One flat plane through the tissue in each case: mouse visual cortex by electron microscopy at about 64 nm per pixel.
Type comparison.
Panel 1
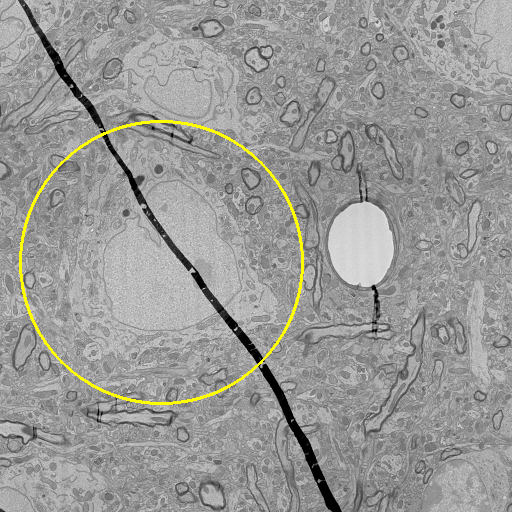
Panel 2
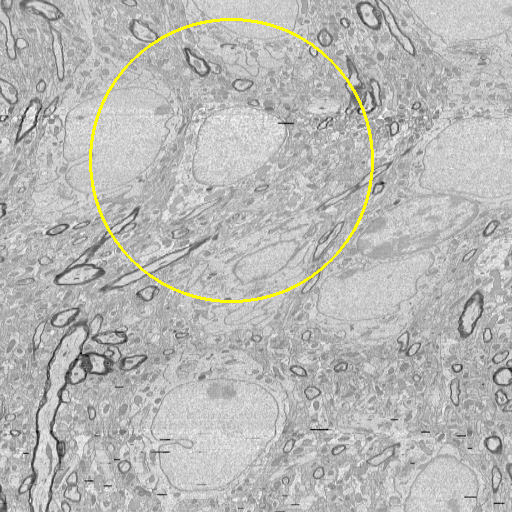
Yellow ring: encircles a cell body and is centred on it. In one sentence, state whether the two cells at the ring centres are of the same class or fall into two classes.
In these panels, the two cells at the ring centres fall into two classes.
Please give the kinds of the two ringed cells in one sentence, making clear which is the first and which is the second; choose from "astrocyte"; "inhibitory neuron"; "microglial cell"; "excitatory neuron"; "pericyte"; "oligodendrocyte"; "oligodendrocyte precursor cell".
In the second picture the ringed cell is an astrocyte; in the first it is an excitatory neuron.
